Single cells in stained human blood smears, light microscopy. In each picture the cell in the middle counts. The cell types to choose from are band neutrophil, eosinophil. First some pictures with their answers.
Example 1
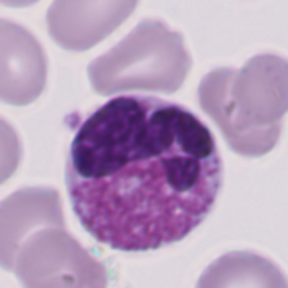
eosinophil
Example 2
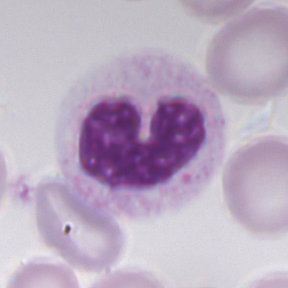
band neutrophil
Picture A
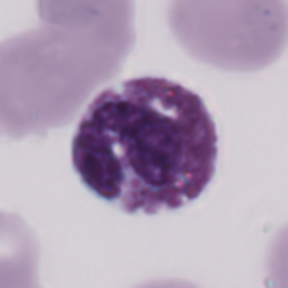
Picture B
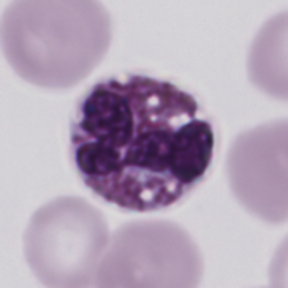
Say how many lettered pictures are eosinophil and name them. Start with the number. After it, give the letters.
Count: 2 (A, B)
